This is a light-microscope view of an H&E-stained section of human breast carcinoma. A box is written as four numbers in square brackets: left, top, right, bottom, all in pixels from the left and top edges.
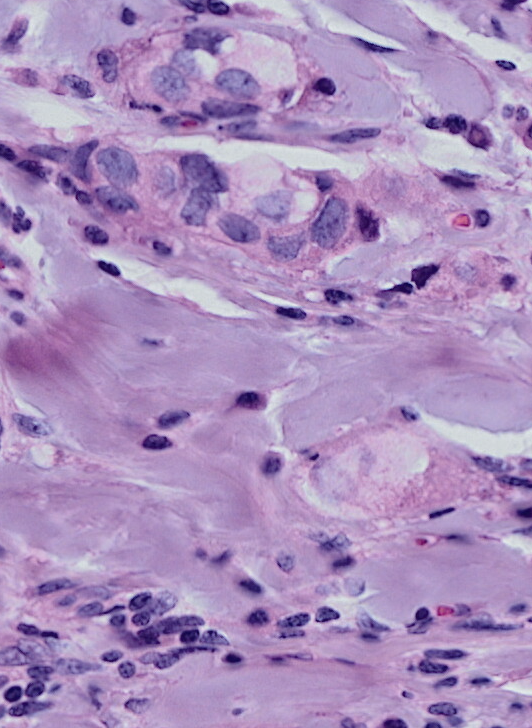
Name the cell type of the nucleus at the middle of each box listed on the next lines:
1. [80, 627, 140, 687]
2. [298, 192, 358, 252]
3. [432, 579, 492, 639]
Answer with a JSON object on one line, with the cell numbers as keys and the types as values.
{"1": "lymphocyte", "2": "carcinoma cell", "3": "endothelial cell"}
